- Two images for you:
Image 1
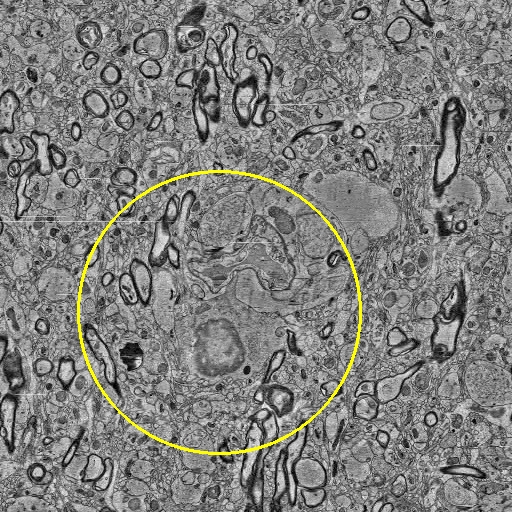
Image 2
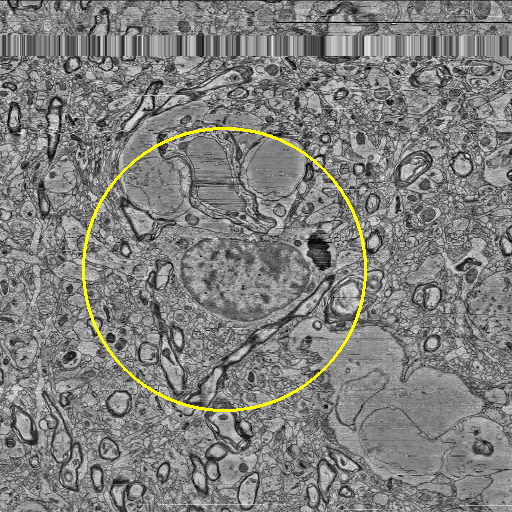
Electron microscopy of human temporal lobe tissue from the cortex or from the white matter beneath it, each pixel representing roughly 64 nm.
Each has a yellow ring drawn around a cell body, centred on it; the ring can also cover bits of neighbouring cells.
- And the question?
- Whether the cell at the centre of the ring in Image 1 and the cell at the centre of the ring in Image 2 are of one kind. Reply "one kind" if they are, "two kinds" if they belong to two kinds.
one kind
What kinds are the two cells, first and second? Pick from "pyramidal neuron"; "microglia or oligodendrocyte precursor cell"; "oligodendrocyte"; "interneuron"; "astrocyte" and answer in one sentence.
Both cells are the same kind, each one being an oligodendrocyte.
